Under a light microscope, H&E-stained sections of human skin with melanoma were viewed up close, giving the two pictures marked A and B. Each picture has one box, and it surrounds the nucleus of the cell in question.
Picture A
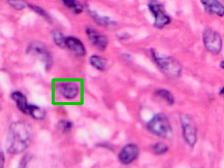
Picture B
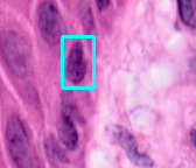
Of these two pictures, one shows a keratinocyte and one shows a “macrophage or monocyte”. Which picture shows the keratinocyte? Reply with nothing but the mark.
B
